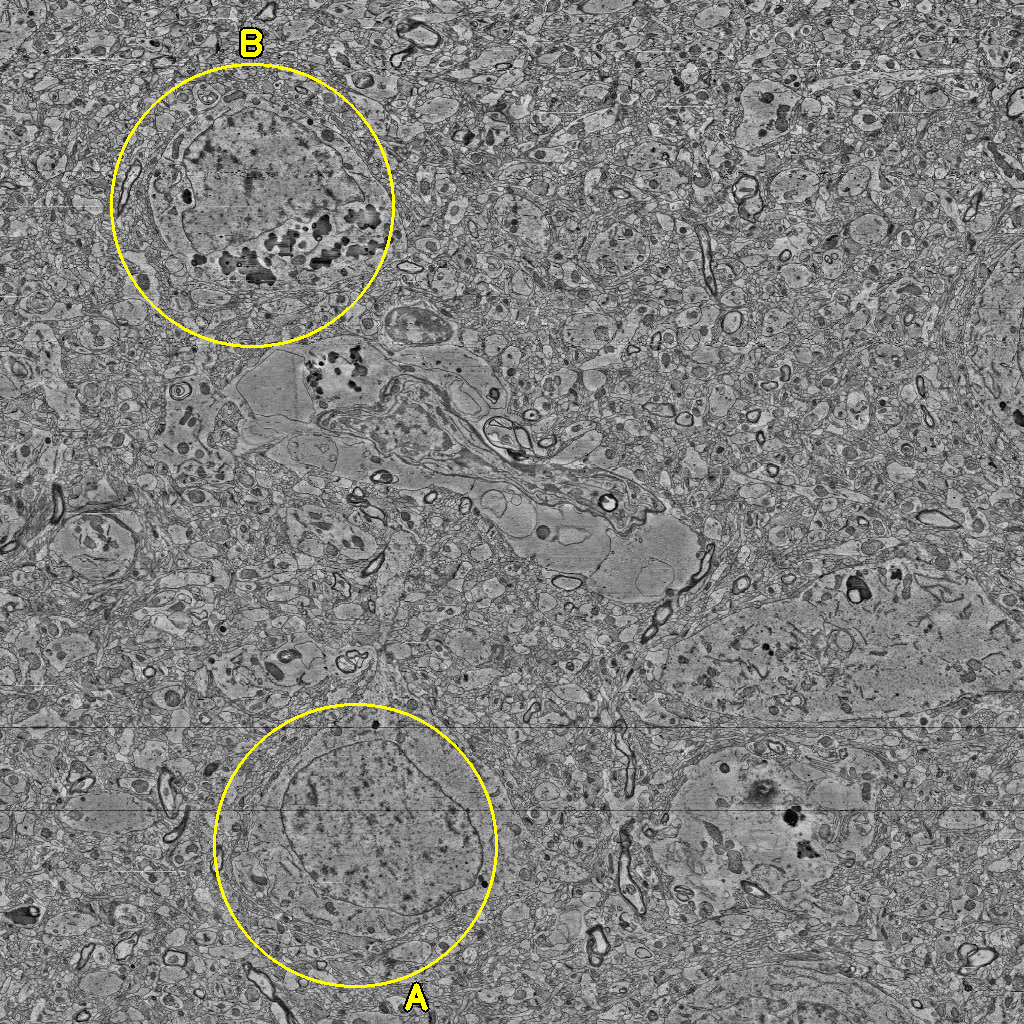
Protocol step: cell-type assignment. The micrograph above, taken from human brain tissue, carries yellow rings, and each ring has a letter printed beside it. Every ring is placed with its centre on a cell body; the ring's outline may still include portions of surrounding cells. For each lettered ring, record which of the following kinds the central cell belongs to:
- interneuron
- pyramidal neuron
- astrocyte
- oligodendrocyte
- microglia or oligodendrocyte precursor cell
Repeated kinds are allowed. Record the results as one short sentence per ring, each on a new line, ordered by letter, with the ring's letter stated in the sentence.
In ring A, the central cell is a pyramidal neuron.
In ring B, the central cell is an interneuron.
